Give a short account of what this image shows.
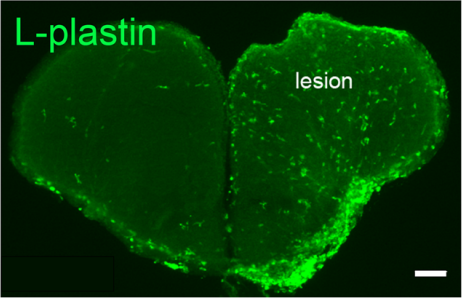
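In the hemisphere on the left only a few small green cells lie sparsely in the dim tissue. In the hemisphere labelled lesion the green cells are many: small bright bodies with short, irregular processes strewn through the tissue, and crowded into a dense bright band along its lower outer edge. The background tissue is a faint, even green without visible cell borders, so the brightly marked cells stand out as individual dots against it.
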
